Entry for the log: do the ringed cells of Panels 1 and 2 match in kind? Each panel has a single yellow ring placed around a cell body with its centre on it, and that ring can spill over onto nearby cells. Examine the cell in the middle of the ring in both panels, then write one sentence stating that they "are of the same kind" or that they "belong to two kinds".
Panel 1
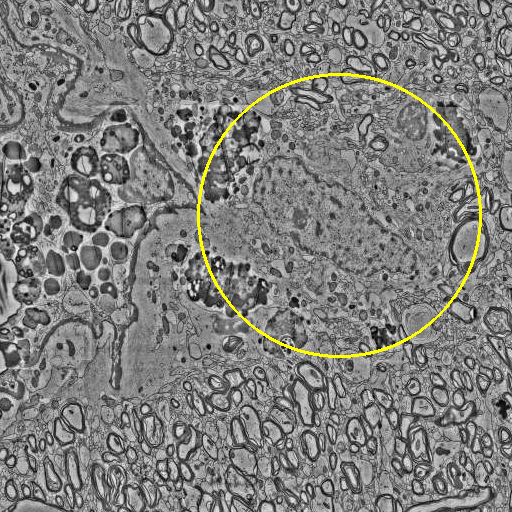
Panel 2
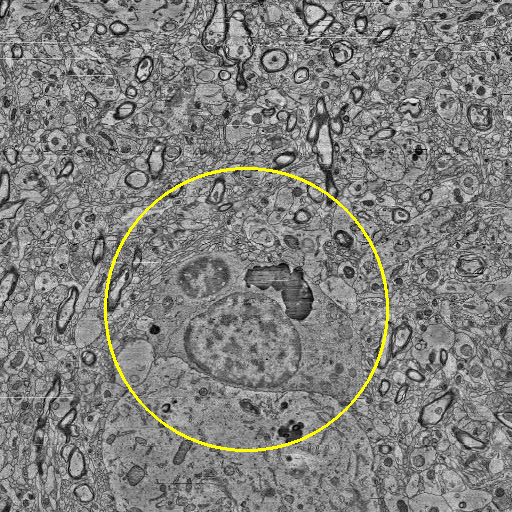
The centre cell of Panel 1's ring and that of Panel 2's ring belong to two kinds.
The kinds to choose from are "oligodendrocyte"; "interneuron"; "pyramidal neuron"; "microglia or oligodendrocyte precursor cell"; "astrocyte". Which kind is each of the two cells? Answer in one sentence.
Of the two, the first cell is an astrocyte and the second cell is an oligodendrocyte.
